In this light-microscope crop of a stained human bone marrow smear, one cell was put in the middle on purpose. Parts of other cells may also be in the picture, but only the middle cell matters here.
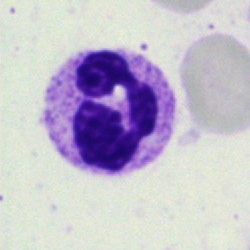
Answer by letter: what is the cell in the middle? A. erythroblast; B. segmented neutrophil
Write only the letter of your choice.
B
